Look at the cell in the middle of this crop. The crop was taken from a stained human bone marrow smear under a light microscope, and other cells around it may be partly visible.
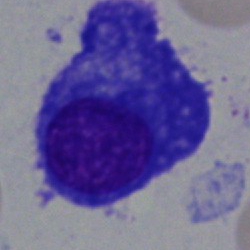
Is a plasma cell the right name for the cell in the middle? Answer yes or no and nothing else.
yes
